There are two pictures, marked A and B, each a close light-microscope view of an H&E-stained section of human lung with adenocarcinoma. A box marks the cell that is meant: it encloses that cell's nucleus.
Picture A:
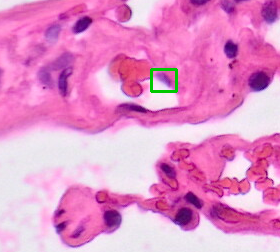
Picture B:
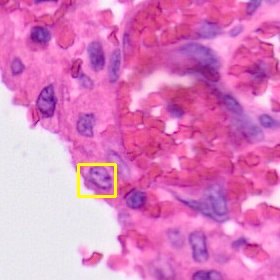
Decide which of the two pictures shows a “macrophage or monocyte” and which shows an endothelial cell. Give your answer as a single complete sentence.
It is picture A that shows an endothelial cell, and picture B that shows a “macrophage or monocyte”.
